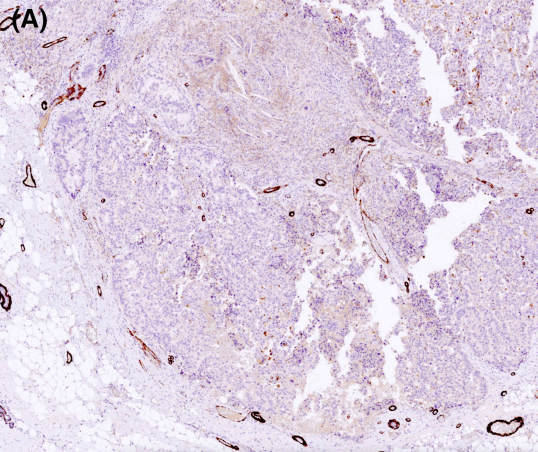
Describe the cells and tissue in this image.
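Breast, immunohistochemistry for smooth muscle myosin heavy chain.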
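At low power a large, rounded epithelial nodule fills most of the field, surrounded by a thin fibrous capsule and fatty tissue. The nodule consists of sheets of blue-stained epithelial cells broken by irregular clefts and spaces, with paler fibrous areas within. No continuous brown layer outlines the edge of the nodule or its inner cores. In contrast, numerous small blood vessels in the capsule and surrounding fat show strongly brown-stained walls. Adipocytes appear as empty, polygonal spaces at the periphery.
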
